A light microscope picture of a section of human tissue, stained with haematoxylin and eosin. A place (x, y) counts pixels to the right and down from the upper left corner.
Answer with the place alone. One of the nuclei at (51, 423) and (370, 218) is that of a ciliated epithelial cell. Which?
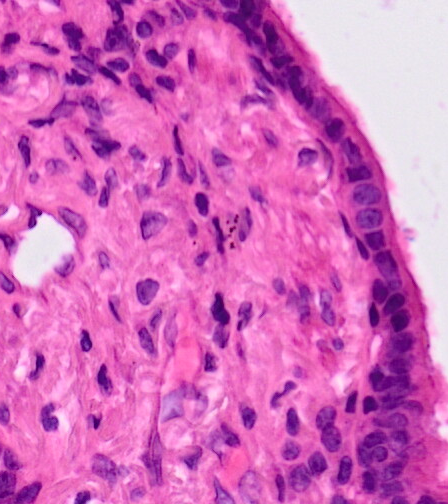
(370, 218)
